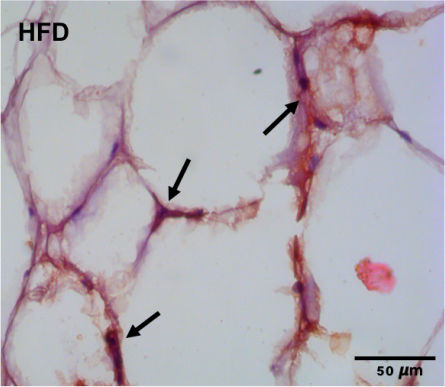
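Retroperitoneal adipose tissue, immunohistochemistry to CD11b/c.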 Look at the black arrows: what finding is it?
Mononuclear cell infiltrate.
